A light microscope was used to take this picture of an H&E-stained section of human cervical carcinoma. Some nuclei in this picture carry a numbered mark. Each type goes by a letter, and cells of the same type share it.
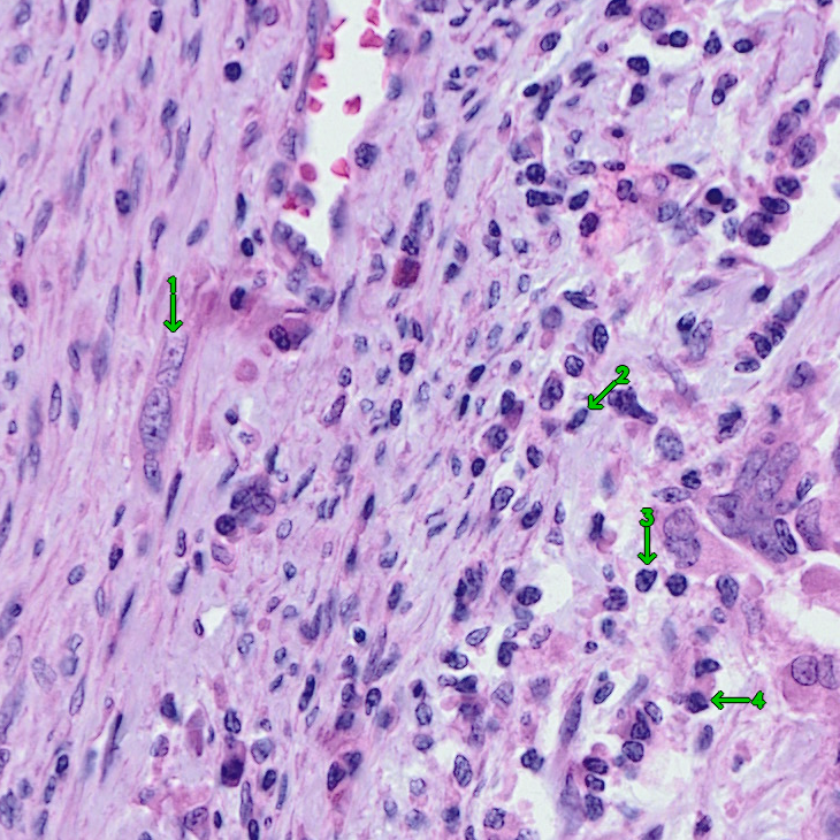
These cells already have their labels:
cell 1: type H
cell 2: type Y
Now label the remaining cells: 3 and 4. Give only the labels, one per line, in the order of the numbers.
type Y
type Y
